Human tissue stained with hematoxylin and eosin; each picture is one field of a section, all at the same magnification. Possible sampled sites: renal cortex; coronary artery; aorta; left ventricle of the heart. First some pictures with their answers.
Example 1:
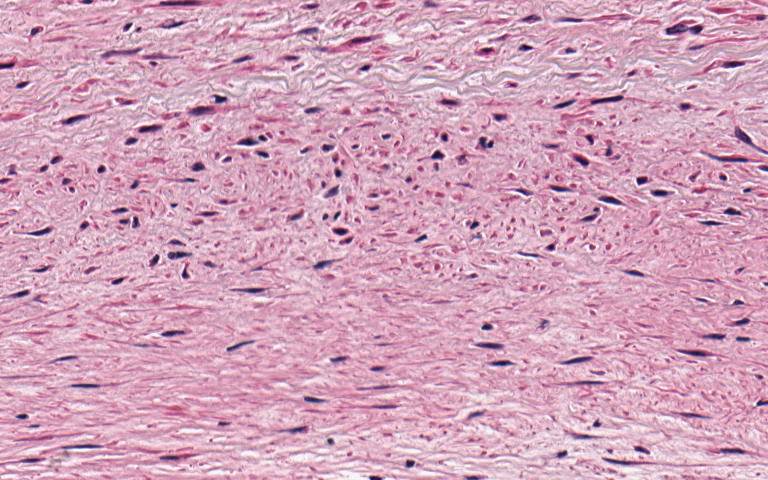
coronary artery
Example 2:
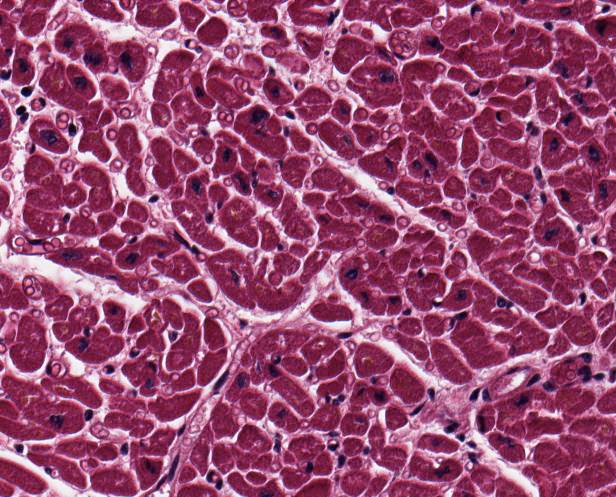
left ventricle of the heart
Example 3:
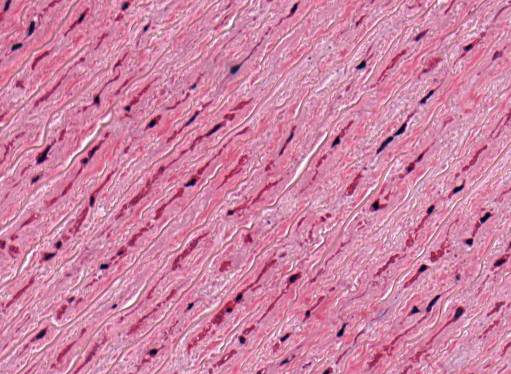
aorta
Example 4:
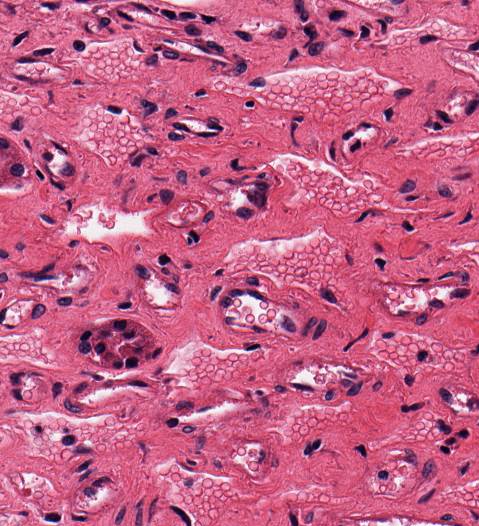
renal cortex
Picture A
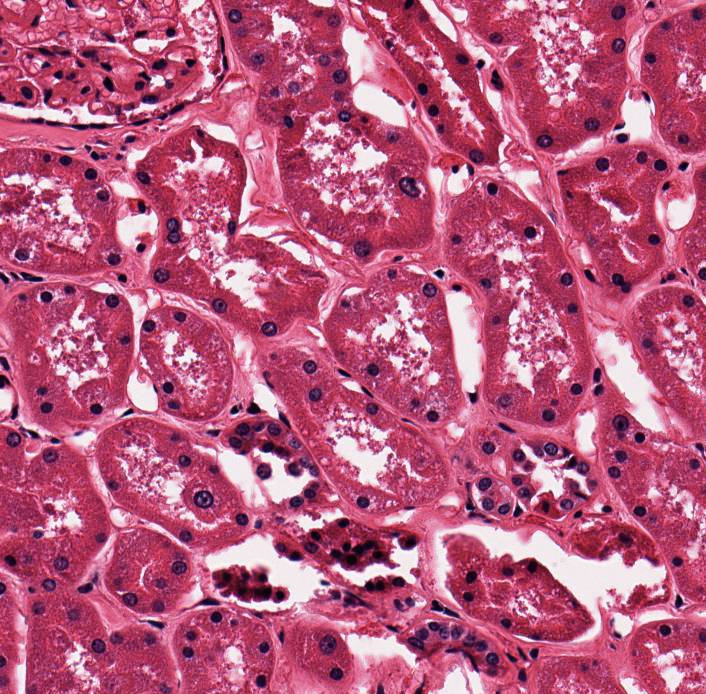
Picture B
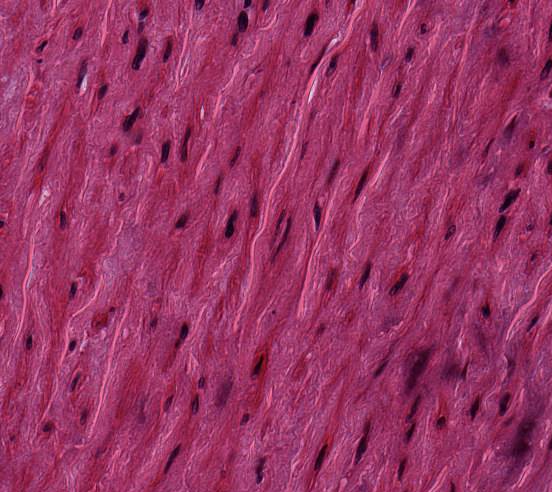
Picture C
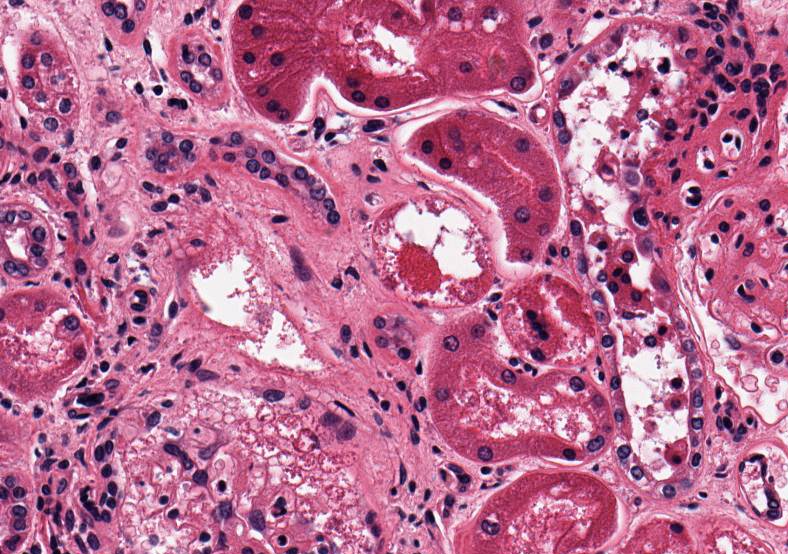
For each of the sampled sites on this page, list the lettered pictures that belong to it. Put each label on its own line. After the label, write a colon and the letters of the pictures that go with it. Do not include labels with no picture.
renal cortex: A, C
aorta: B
